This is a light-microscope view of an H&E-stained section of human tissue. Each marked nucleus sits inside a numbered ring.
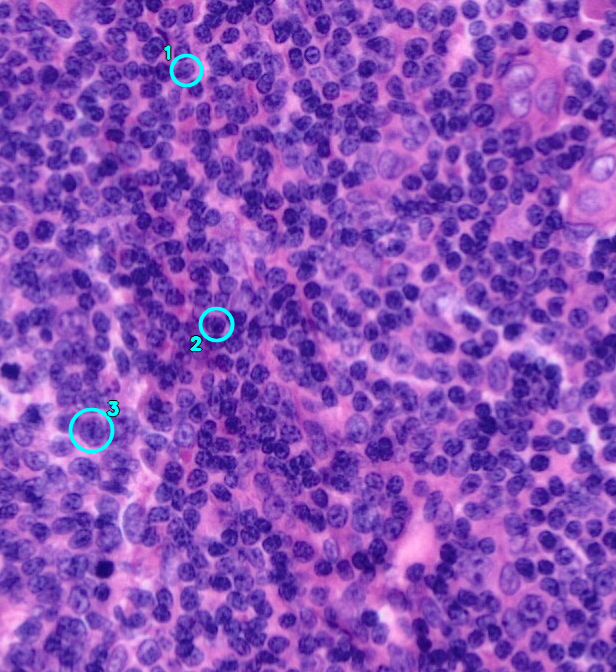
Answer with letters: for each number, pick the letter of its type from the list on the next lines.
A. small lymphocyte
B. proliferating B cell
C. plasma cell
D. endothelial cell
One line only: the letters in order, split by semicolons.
A; A; B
